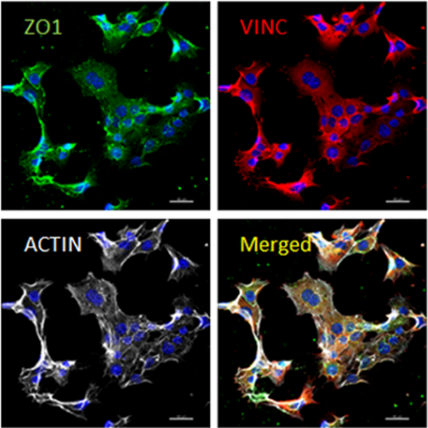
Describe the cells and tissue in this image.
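The white staining fills the spread cytoplasm and is brightest at the outer edges and in the protrusions of the clusters. The red staining spreads through the cytoplasm. In the overlaid view, the colours overlap most strongly at the edges of the cell sheets.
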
